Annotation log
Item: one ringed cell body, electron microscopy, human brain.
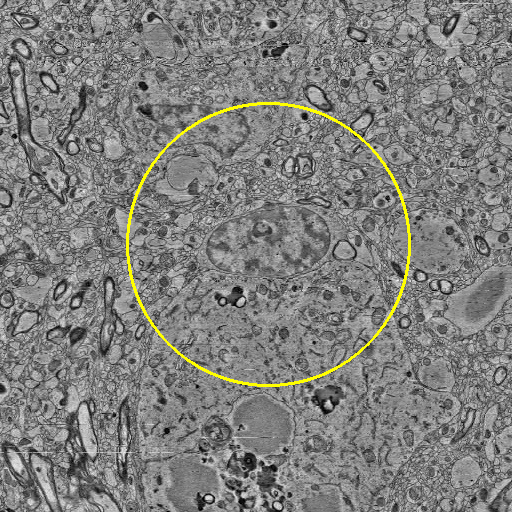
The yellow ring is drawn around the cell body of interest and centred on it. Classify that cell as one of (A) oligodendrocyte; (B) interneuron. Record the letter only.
A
